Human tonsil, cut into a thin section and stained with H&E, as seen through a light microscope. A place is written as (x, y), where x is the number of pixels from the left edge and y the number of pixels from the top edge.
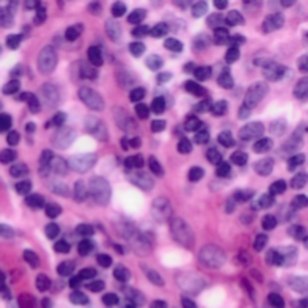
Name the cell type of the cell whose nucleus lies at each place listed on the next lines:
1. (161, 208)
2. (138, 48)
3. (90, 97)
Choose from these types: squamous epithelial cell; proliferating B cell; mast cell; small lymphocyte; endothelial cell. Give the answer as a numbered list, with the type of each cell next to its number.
1. endothelial cell
2. small lymphocyte
3. endothelial cell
